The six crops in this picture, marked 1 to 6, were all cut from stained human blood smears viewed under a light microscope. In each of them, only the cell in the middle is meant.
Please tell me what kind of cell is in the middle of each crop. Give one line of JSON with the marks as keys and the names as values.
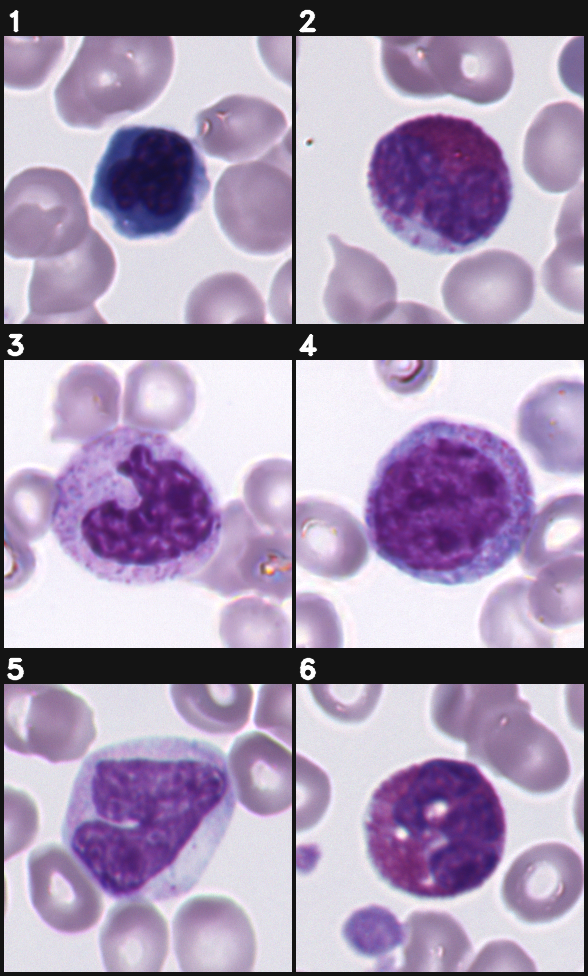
{"1": "normoblast", "2": "eosinophil", "3": "band neutrophil", "4": "promyelocyte", "5": "band neutrophil", "6": "eosinophil"}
